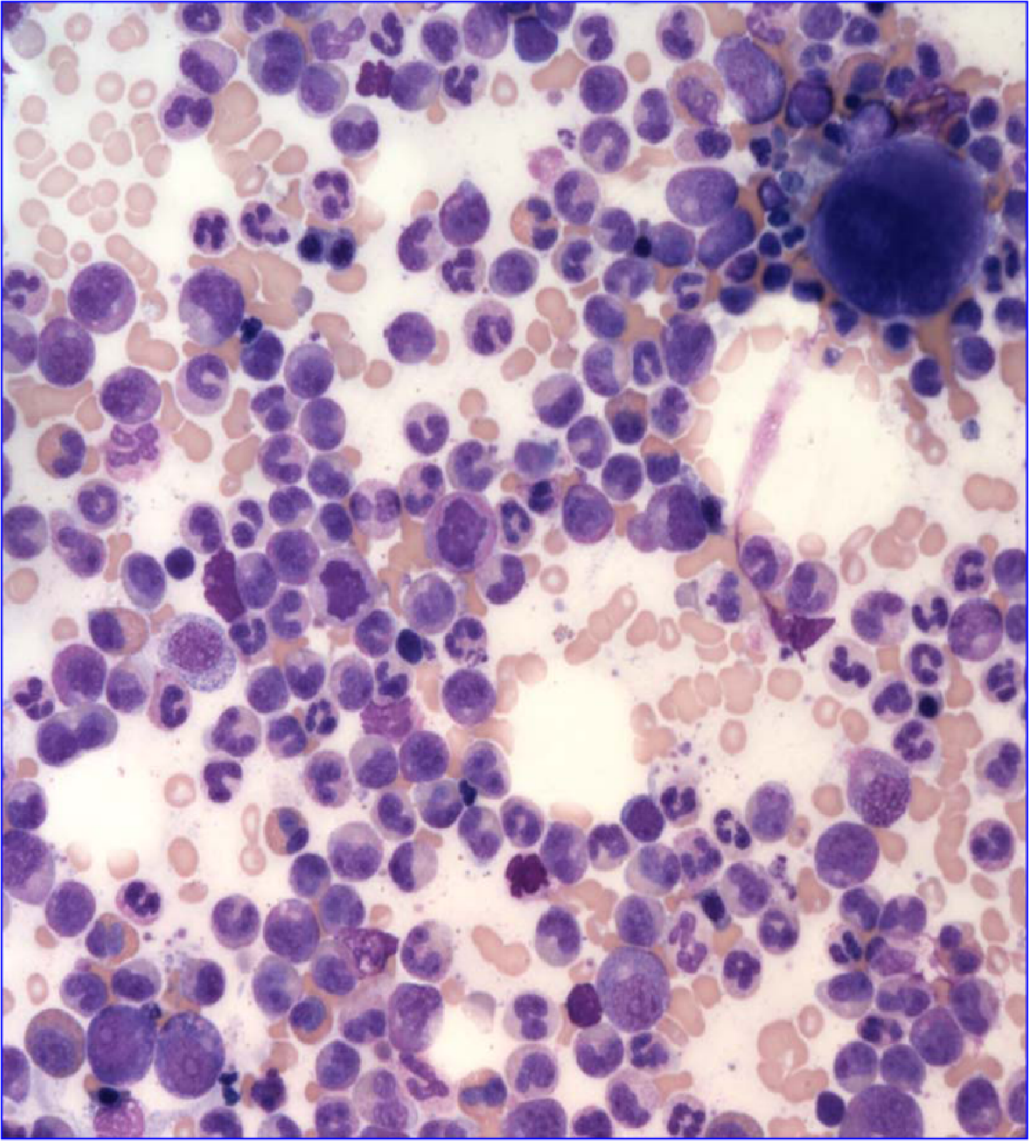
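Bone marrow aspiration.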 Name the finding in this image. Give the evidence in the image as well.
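The field is densely packed with granulocytic cells. Myeloid cells at many stages, from round-nucleated precursors to segmented forms, far outnumber other nucleated cells. Few small dark lymphocyte-like or erythroid cells are present.
Answer: myeloid hyperplasia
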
